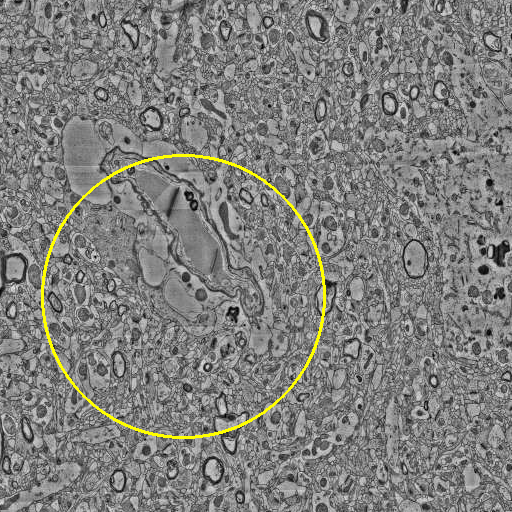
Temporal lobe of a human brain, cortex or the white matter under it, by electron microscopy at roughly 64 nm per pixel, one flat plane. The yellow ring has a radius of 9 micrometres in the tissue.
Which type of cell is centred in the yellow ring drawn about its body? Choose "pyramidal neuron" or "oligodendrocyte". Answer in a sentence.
The yellow ring surrounds the cell body of an oligodendrocyte.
